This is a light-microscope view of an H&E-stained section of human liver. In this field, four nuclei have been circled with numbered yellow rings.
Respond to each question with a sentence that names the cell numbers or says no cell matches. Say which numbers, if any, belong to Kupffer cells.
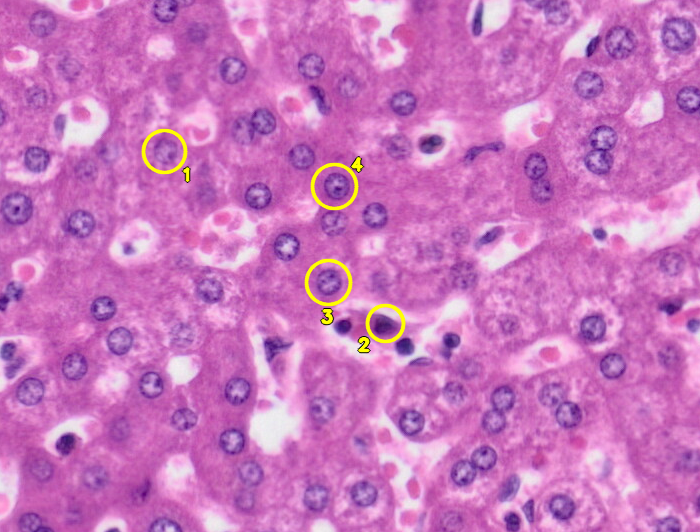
The numbered cells include exactly one that is a Kupffer cell, which is cell 2.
